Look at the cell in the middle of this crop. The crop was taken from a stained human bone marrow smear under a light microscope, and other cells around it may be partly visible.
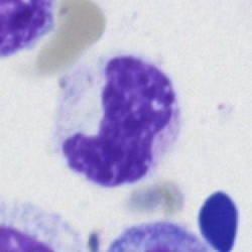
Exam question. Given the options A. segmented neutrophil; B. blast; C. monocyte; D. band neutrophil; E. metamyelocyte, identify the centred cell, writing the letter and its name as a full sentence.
The cell positioned centrally is a band neutrophil, as given in option D, which is correct.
